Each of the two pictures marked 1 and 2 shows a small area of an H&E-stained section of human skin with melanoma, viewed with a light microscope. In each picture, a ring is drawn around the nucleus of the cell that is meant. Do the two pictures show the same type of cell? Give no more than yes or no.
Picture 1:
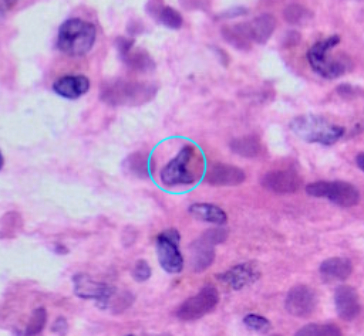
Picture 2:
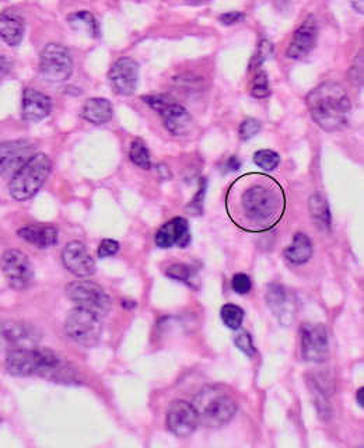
no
